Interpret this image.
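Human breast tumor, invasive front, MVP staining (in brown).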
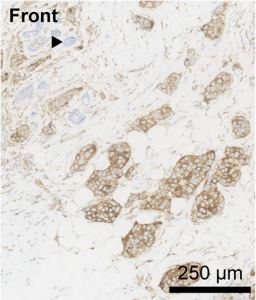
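The tumour nests vary in size from small clusters to larger groups of many cells. Their cells stain brown, with the stain strongest along the cell borders and at the edges of the nests. The stroma between the nests is pale, with thin fibres, scattered elongated nuclei and large empty spaces of fat cells.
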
